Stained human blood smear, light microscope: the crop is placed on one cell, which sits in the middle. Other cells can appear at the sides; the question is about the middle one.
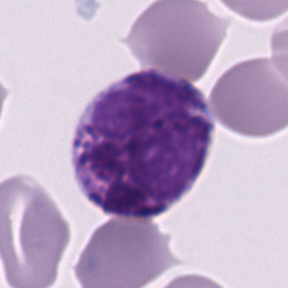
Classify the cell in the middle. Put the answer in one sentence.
The cell at the middle of the frame should be recorded as a basophil.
